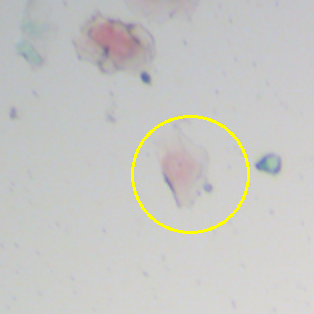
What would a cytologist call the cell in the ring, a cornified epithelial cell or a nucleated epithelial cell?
A cytologist would call it a cornified epithelial cell.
